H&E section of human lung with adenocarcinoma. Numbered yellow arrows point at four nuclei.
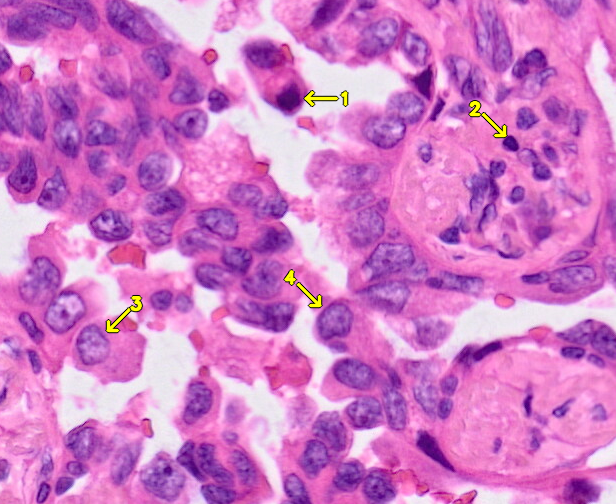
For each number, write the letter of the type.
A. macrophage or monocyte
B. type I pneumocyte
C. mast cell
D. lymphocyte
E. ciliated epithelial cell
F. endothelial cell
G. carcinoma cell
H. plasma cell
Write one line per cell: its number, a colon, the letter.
1: G
2: D
3: G
4: G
